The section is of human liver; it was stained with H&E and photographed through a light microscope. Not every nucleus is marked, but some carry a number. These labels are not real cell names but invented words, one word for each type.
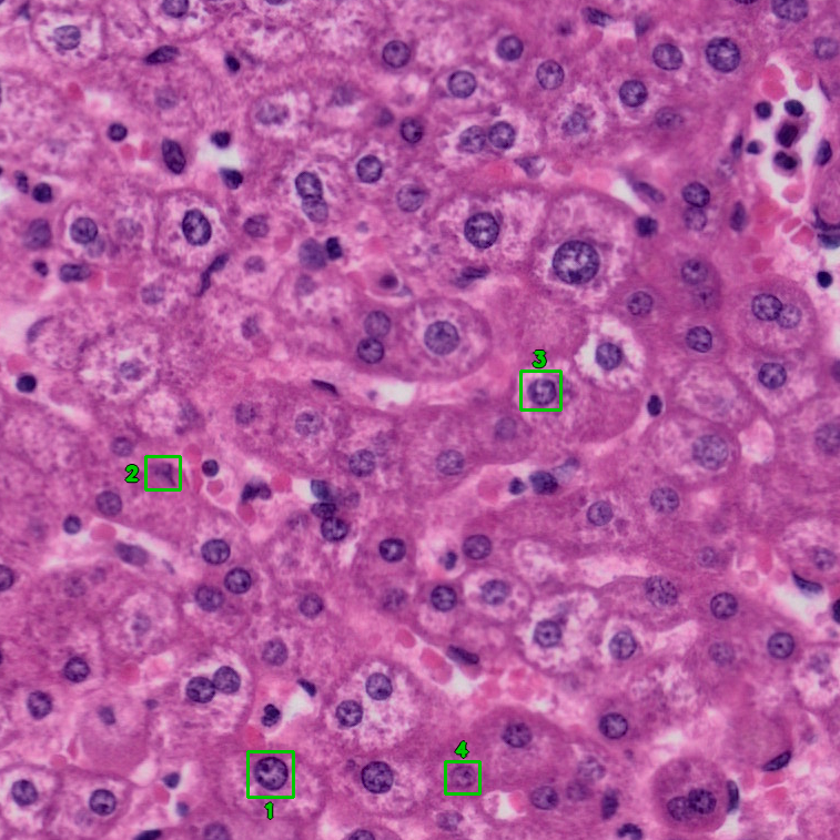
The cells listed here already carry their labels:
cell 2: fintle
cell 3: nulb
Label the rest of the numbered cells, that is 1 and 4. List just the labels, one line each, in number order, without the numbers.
nulb
nulb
